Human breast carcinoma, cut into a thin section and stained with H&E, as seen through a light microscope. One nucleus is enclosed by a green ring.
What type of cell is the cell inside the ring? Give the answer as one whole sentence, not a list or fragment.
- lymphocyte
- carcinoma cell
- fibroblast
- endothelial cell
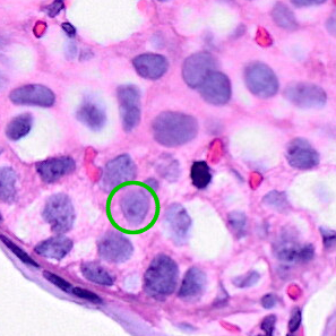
The cell type of the cell inside the ring is that of a carcinoma cell.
